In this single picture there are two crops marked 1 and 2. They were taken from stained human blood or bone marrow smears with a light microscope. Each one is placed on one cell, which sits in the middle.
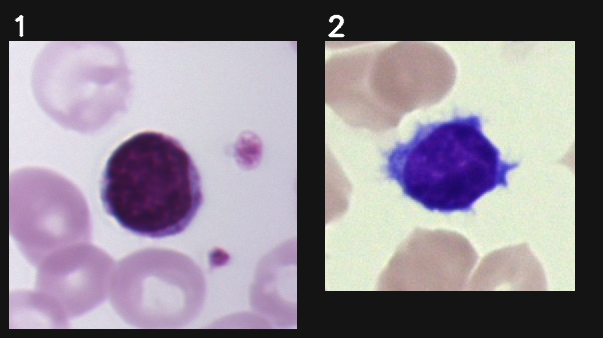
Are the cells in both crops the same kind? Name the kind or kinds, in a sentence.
Yes, lymphocytes are the cells in the middle of both crops.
